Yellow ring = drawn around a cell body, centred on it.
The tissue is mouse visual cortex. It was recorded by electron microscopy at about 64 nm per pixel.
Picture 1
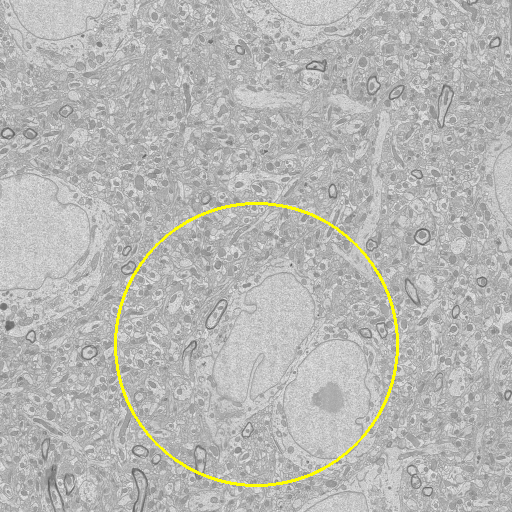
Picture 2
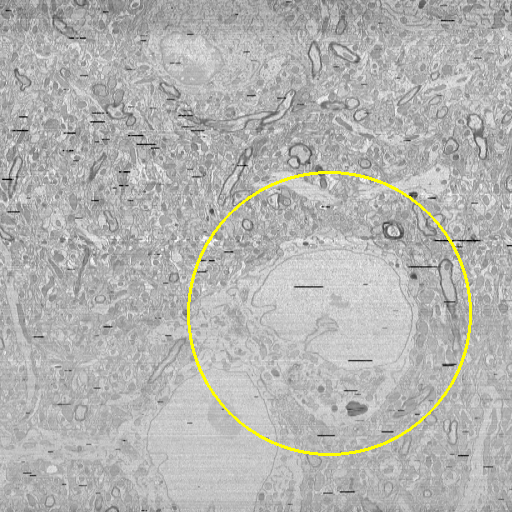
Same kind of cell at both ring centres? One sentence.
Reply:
No, they are two kinds of cell.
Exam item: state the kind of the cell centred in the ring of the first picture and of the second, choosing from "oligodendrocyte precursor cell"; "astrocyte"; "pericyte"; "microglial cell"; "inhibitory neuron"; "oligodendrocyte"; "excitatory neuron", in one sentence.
The first picture shows an inhibitory neuron at the ring centre and the second shows an excitatory neuron.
